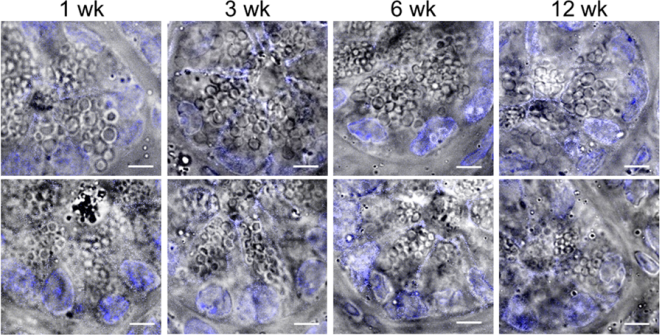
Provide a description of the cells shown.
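These are views of the base of small intestinal crypts, where Paneth cells are packed with secretory granules. Each image shows clusters of many small, round granules with dark rims and lighter centres, crowded together in the cytoplasm. Granules look larger and more sharply outlined in some images, and smaller and less distinct in others.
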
